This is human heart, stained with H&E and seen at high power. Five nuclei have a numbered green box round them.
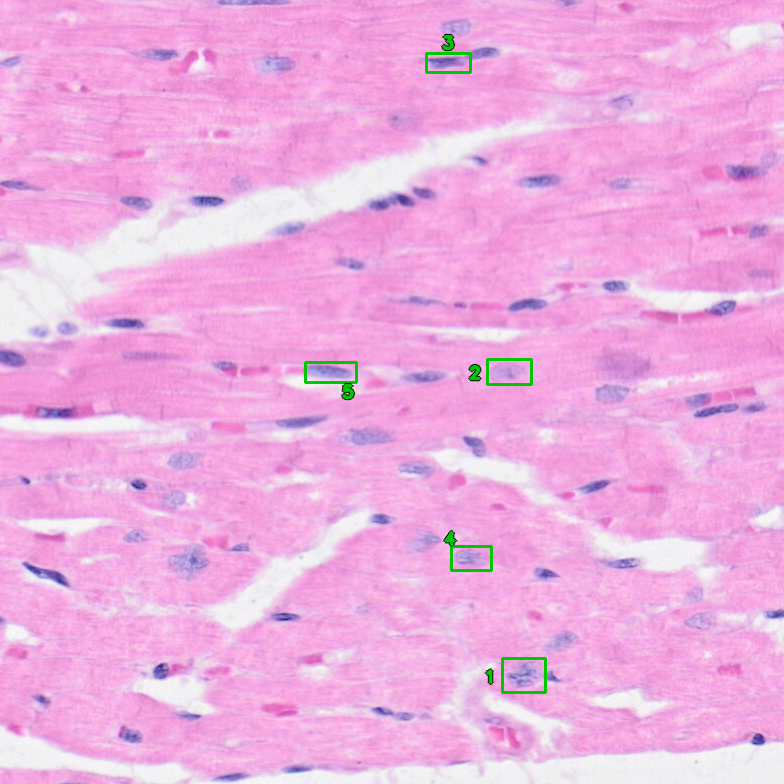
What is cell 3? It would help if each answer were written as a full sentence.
That cell with number 3 is an endothelial cell.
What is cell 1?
The cell given label 1 is a cardiomyocyte.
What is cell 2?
Cell 2 of the marked set is a cardiomyocyte.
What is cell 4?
The cell indicated by marker 4 is a cardiomyocyte in this section.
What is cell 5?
At number 5, the marked cell is an endothelial cell.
